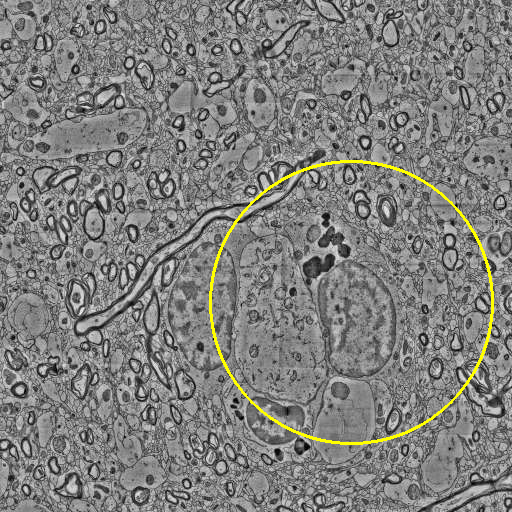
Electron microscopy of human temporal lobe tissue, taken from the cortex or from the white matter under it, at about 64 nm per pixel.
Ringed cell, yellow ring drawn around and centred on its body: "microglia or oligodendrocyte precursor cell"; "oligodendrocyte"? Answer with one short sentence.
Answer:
This ringed cell is an oligodendrocyte.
